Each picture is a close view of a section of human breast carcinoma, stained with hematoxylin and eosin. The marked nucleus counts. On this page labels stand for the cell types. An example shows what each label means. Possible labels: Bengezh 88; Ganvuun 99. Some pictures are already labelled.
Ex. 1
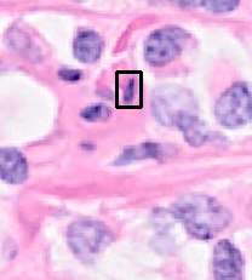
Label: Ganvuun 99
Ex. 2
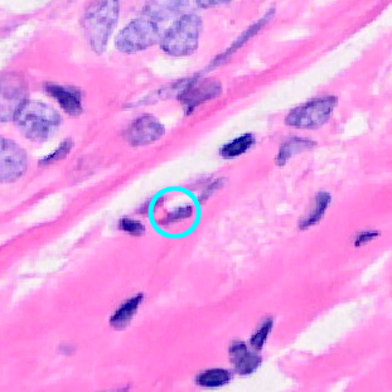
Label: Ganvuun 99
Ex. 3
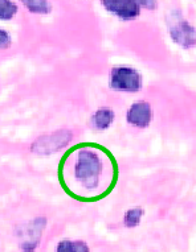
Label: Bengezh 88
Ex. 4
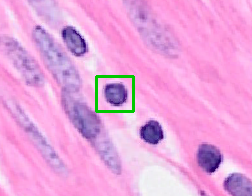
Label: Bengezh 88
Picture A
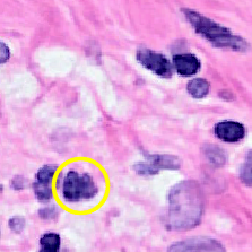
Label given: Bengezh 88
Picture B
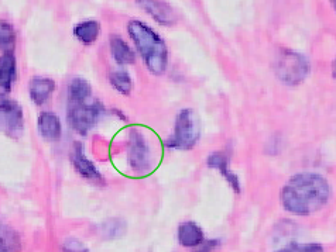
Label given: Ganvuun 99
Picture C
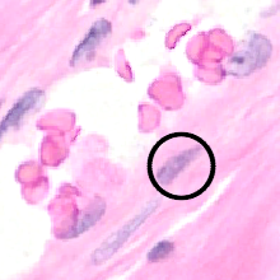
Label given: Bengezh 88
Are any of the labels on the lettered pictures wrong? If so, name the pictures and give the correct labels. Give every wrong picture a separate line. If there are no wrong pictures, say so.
C is labelled Bengezh 88; correct label: Ganvuun 99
